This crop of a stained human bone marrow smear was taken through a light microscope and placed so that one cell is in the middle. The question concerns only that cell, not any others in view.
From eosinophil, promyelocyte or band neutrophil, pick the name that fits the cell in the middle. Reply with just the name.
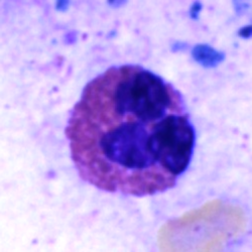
eosinophil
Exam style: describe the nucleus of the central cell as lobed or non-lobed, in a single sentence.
Its nucleus is lobed, with at least two separate segments.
